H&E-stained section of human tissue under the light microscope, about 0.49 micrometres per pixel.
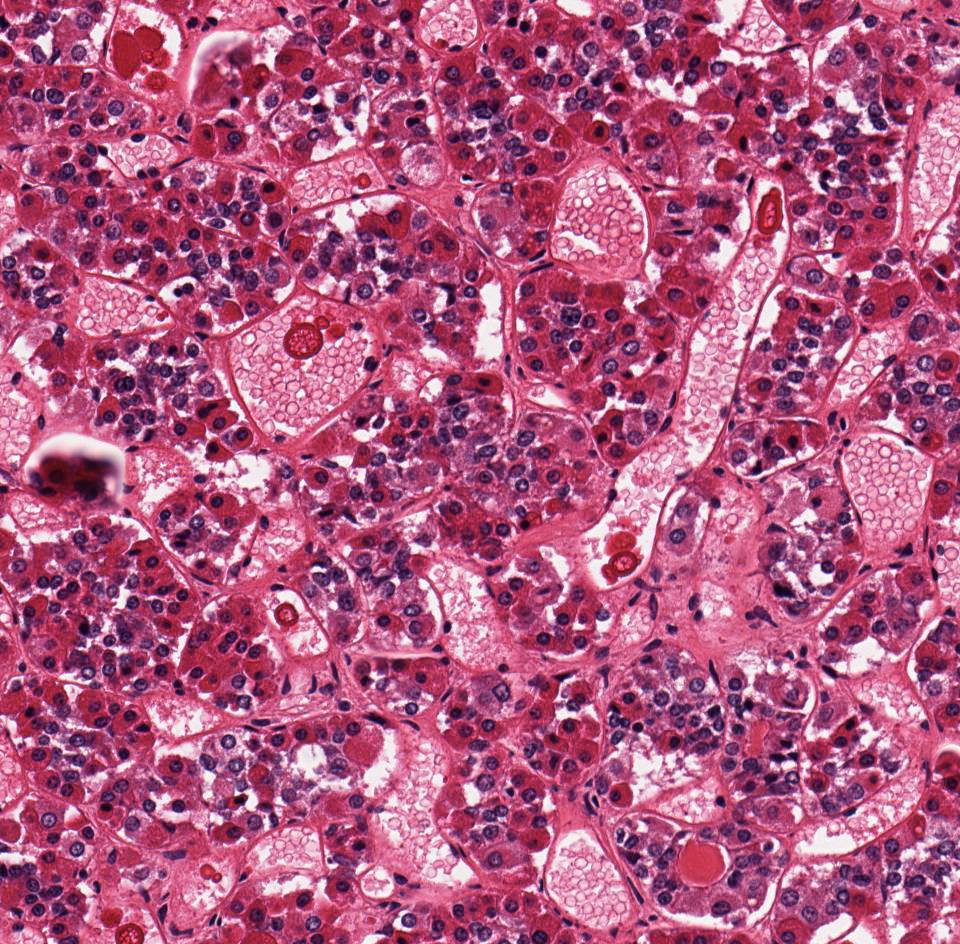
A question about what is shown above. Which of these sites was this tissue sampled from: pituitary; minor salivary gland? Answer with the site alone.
pituitary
